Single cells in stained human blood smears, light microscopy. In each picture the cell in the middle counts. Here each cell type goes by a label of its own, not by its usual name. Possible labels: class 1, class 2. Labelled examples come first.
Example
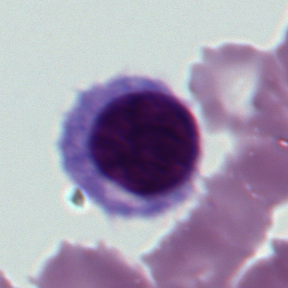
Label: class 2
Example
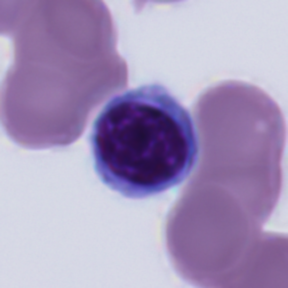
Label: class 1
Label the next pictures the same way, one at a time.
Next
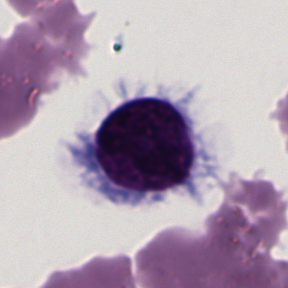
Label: class 2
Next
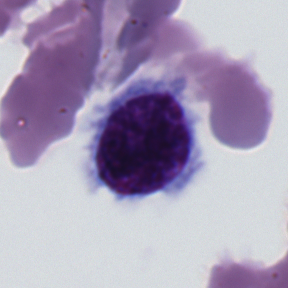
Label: class 2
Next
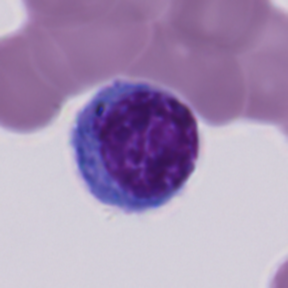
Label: class 1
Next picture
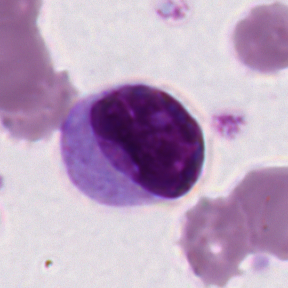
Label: class 1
